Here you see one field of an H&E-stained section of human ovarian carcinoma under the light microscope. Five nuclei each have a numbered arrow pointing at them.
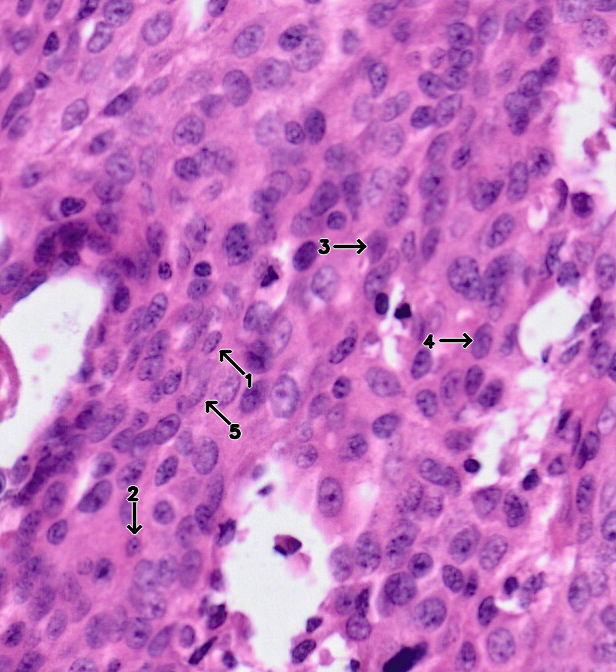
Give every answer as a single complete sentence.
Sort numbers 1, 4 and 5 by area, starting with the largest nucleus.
From largest to smallest, the order is 4, 1, 5.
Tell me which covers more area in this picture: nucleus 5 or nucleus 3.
The larger nucleus is 3, at roughly 2 times the area of 5.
